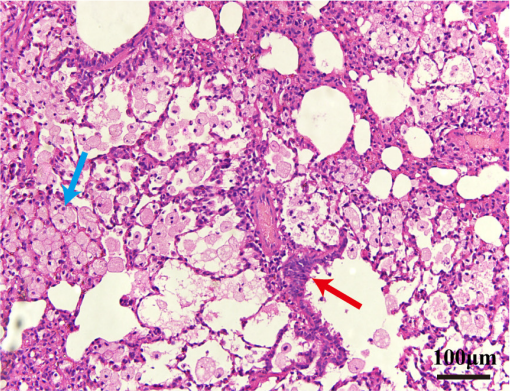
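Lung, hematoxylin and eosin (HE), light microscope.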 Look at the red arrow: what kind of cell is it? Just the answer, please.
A: Inflammatory cells.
